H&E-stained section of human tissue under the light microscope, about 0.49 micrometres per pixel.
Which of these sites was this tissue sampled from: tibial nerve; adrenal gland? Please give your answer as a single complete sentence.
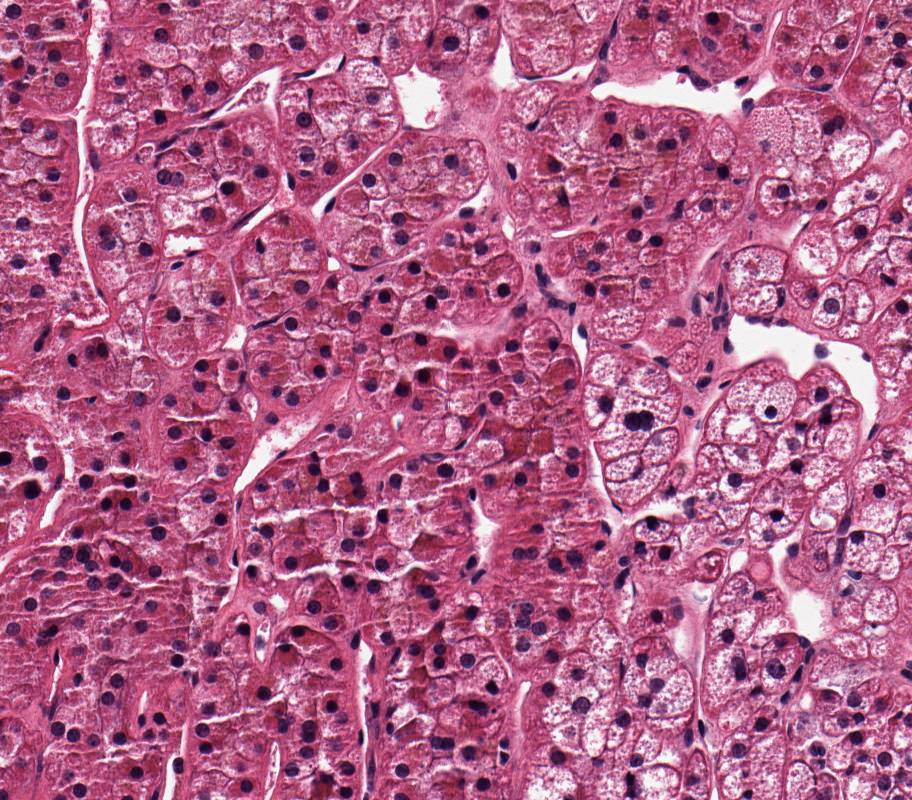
Tissue from the adrenal gland was used for this section.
